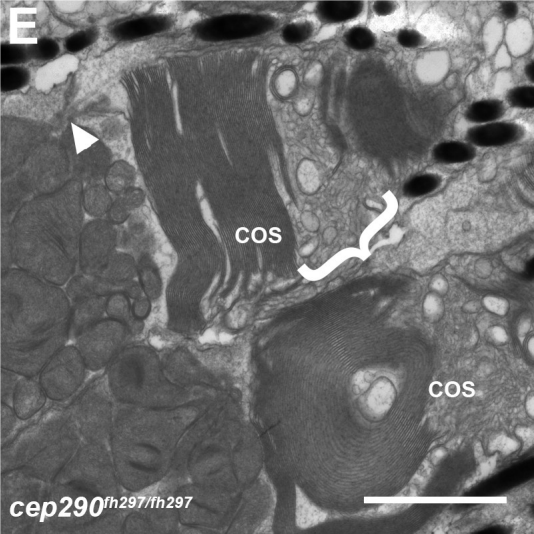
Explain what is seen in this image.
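This electron micrograph shows cone outer segments of the retina with abnormal membrane organization. One outer segment consists of stacked membranes that splay apart into separate fanning bundles rather than forming a single tight stack. Below it, another outer segment has its membranes curled into a concentric whorl around a pale central space. Many small round vesicles crowd the area beside these outer segments, and a marked region between them is filled with such vesicles and irregular membranes. To the left lie rounded profiles with internal membrane folds, and dense black granules line the upper edge.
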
